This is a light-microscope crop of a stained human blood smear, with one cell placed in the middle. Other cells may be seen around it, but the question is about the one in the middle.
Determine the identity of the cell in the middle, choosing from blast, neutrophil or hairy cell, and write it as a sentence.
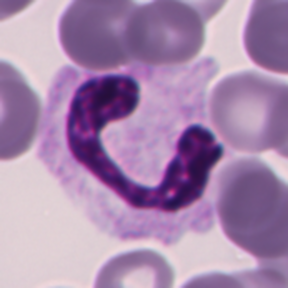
Centred in the crop is a neutrophil.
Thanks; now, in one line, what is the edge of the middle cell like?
It is the contour of the cell that is irregular, being ragged or projecting outward.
